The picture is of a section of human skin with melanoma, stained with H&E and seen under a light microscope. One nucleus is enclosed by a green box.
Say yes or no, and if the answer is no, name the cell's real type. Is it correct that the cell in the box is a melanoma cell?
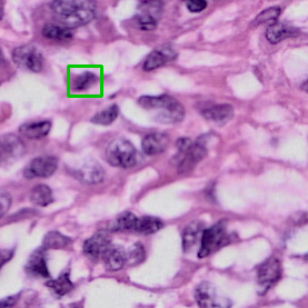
No, it is a macrophage or monocyte.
